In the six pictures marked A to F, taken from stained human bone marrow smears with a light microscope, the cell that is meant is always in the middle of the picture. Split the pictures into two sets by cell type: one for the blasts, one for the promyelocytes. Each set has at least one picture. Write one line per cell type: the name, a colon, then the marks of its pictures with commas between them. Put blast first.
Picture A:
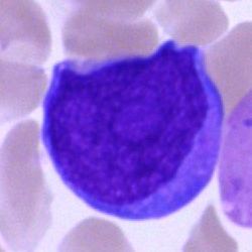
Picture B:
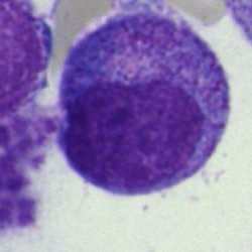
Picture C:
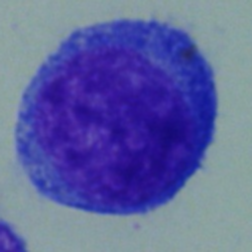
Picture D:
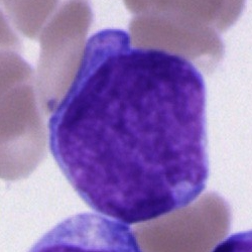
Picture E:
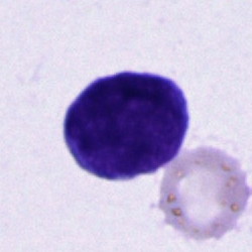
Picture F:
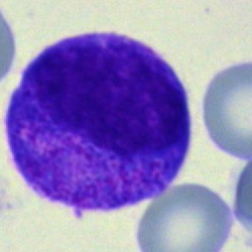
blast: A, C, D, E
promyelocyte: B, F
